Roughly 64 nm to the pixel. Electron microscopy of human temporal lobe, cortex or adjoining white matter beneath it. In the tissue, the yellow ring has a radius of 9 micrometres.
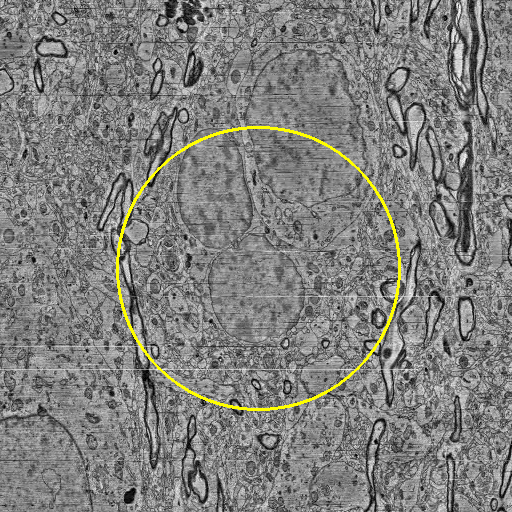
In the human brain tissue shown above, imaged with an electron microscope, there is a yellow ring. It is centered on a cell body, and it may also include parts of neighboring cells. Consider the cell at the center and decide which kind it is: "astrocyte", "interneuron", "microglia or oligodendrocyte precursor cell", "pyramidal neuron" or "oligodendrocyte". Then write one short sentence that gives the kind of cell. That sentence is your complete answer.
This centered cell body is that of an oligodendrocyte.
